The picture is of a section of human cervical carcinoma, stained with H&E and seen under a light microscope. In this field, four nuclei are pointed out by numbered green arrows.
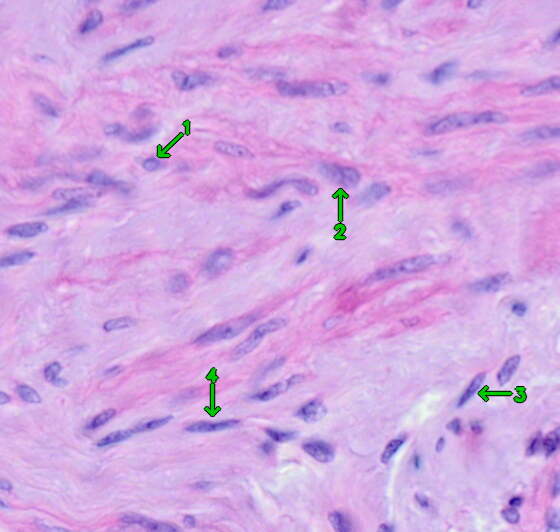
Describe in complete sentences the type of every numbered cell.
Cells 1 and 2 are smooth muscle cells. Cells 3 and 4 are fibroblasts.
